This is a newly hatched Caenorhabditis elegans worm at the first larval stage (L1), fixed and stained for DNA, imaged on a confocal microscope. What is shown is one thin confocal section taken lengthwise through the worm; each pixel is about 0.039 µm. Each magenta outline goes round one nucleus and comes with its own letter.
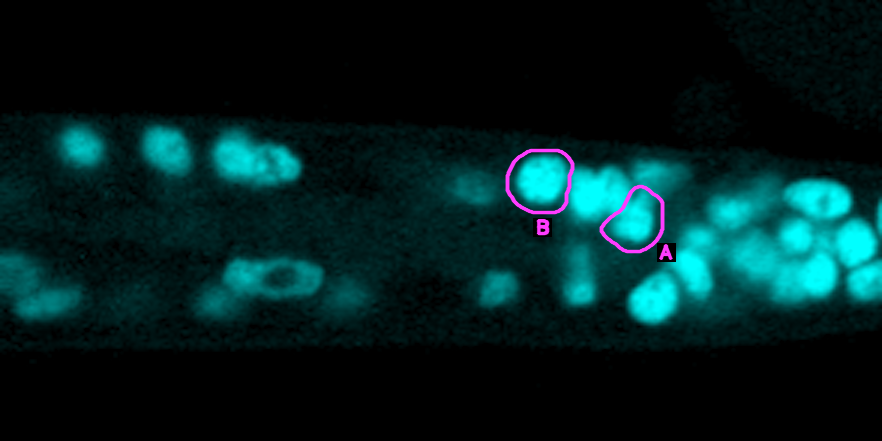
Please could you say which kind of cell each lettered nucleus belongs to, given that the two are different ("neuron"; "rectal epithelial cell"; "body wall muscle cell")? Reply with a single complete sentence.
A is the nucleus of a rectal epithelial cell; B is the nucleus of a neuron.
